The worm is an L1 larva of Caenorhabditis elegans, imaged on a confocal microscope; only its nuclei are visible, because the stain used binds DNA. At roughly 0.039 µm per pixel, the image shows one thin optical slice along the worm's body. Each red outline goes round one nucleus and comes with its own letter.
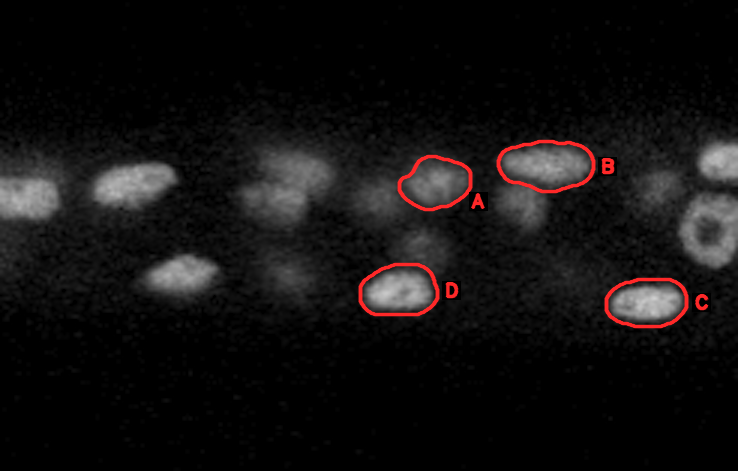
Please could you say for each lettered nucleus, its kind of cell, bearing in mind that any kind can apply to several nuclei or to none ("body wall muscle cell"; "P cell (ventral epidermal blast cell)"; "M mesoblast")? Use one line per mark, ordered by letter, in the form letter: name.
A: P cell (ventral epidermal blast cell)
B: body wall muscle cell
C: body wall muscle cell
D: body wall muscle cell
